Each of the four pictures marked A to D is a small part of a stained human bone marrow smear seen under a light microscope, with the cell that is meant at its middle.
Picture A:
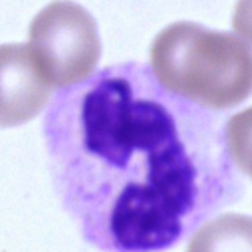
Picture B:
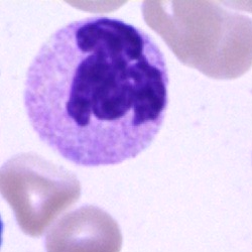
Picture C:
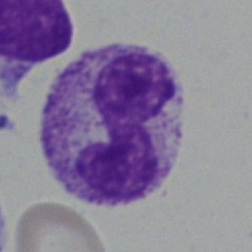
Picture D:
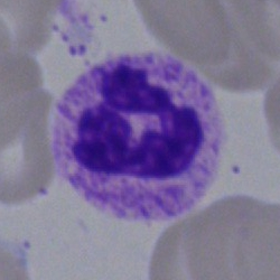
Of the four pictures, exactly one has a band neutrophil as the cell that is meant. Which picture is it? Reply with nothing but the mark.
C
